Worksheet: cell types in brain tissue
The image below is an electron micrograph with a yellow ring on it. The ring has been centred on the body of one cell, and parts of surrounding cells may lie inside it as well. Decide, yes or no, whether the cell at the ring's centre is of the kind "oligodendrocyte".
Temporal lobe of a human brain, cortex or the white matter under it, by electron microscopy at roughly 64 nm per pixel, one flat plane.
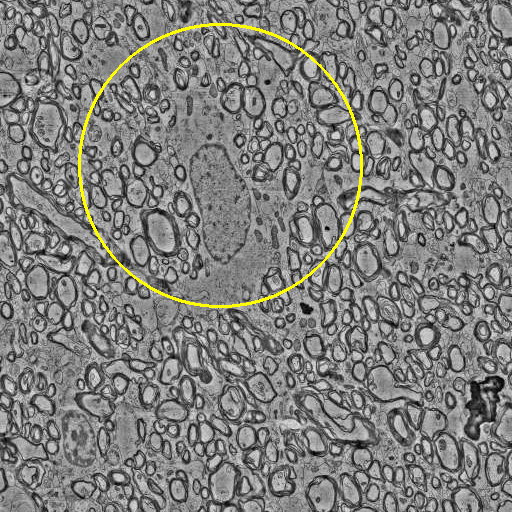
no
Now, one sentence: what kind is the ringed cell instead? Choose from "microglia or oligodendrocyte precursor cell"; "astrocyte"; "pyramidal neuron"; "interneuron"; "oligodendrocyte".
The cell marked by the ring is an astrocyte.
